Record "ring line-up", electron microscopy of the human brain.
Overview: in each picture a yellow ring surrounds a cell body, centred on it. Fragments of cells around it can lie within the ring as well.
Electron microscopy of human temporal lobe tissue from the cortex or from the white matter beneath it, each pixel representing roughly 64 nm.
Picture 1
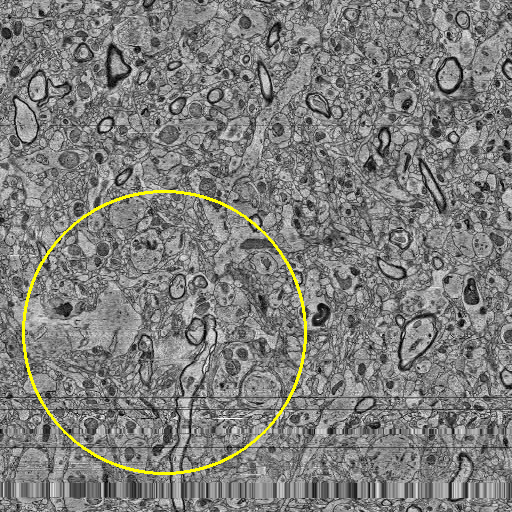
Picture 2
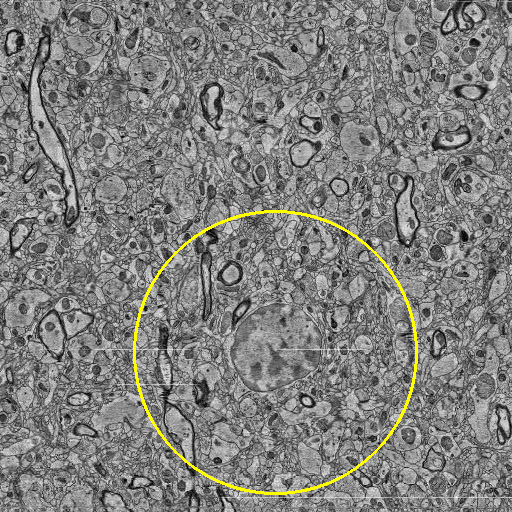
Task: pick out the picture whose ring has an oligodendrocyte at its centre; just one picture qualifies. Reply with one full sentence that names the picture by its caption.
Going by the cell at the ring's centre, the right choice is Picture 1.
